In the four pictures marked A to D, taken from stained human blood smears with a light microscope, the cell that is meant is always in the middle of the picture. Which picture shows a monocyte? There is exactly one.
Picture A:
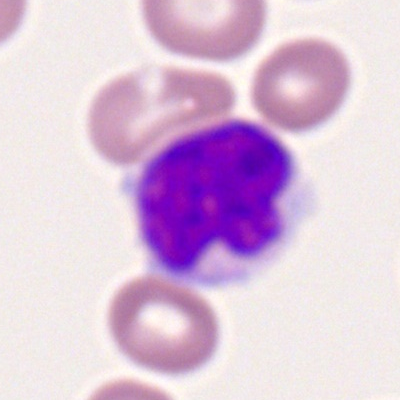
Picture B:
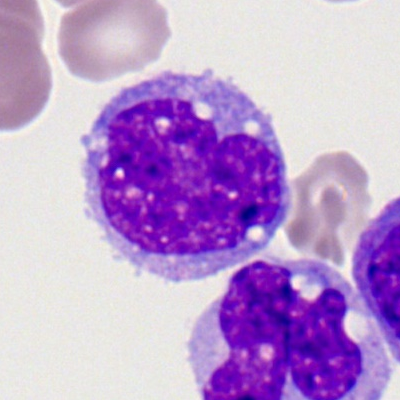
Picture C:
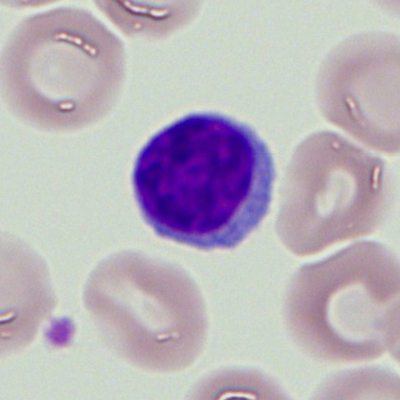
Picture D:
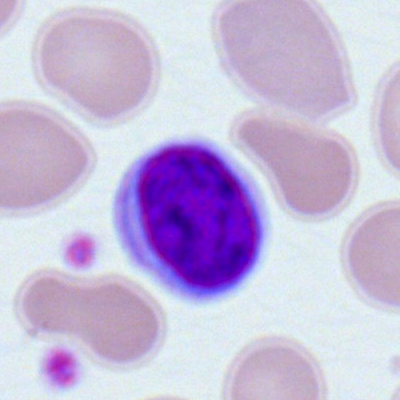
B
